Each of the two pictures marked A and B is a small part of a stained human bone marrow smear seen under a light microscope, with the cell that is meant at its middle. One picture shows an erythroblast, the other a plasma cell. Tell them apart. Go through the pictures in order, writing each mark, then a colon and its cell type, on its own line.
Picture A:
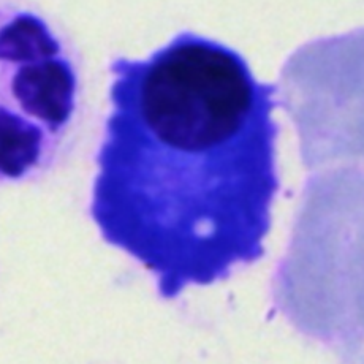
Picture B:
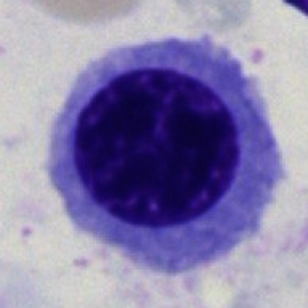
A: plasma cell
B: erythroblast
